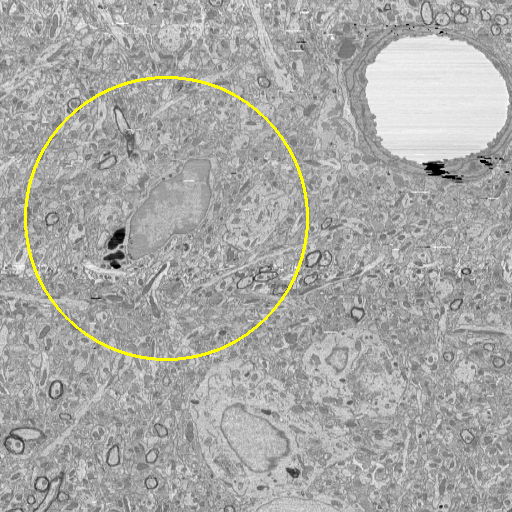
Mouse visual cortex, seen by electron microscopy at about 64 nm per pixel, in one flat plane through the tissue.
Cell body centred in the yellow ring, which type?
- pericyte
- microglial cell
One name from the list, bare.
microglial cell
